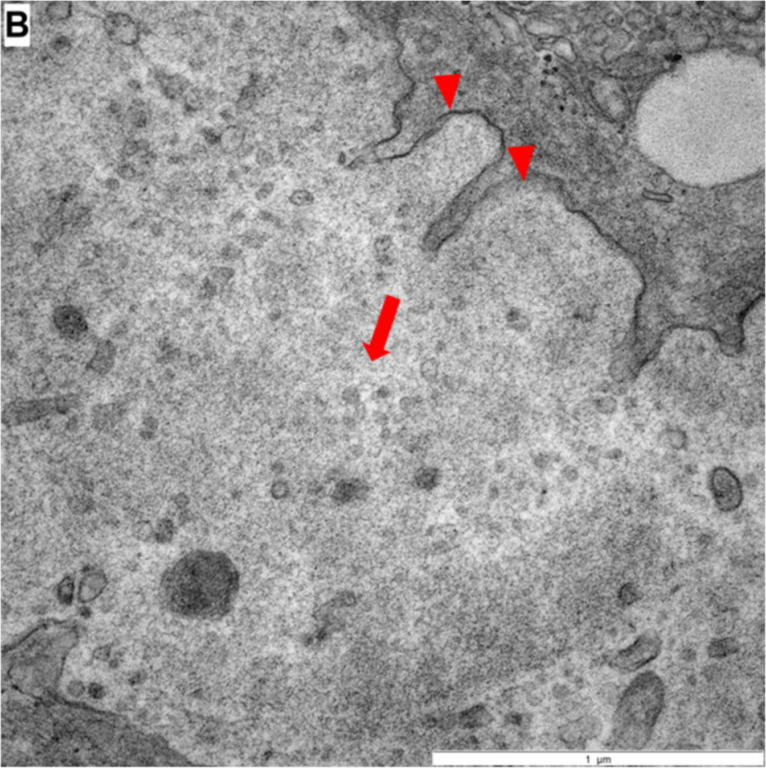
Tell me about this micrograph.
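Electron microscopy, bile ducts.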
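At high magnification this shows a space in the liver filled with pale, finely granular, amorphous material. Small round vesicles and a few darker round bodies are scattered within it. Along the upper right runs the border of a darker cytoplasm, edged by a thin membrane that sends short finger-like folds into the pale material. These folds look like remnants of microvilli. A large clear vacuole lies in the darker cytoplasm in the upper right corner.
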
